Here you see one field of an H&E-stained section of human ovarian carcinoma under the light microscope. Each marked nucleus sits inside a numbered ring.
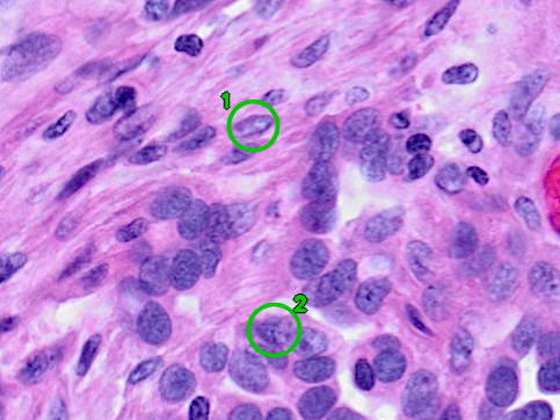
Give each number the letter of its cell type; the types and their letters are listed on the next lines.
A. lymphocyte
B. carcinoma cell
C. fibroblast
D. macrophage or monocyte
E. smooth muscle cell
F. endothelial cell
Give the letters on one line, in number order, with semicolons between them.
C; B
